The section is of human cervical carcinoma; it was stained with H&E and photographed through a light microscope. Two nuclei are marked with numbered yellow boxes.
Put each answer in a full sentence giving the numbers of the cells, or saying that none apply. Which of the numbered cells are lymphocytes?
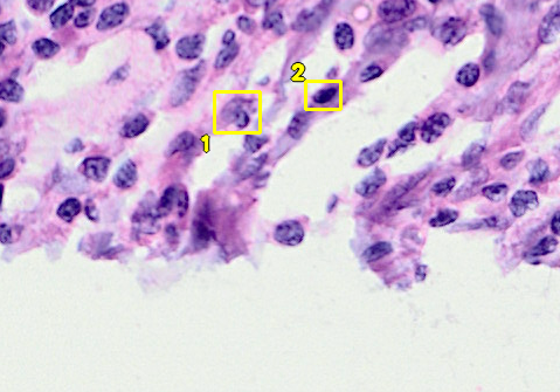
Cell 2 is a lymphocyte, and it is the only numbered cell that is.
